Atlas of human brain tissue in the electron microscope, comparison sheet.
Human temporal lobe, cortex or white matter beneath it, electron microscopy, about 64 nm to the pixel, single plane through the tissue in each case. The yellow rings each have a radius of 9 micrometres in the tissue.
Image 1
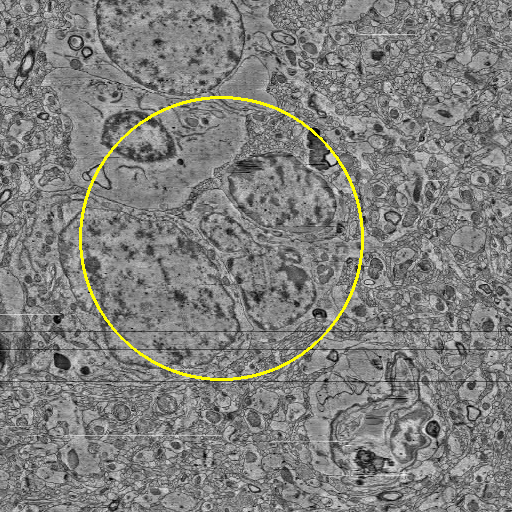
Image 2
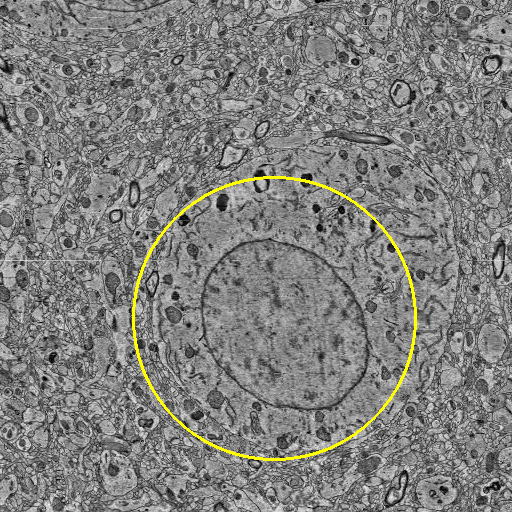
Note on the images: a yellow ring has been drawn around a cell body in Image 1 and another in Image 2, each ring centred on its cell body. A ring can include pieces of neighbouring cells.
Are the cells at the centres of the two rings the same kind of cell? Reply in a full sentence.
No, the two cells are of two kinds.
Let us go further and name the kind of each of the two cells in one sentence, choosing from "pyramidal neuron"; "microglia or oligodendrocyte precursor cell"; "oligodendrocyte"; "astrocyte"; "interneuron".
The ring of the first picture is on a microglial cell or oligodendrocyte precursor cell, the ring of the second on a pyramidal neuron.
